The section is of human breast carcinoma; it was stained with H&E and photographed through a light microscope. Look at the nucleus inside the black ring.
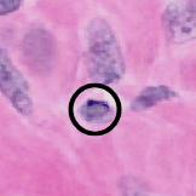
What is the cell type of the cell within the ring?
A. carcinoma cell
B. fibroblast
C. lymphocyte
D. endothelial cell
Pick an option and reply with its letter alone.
C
